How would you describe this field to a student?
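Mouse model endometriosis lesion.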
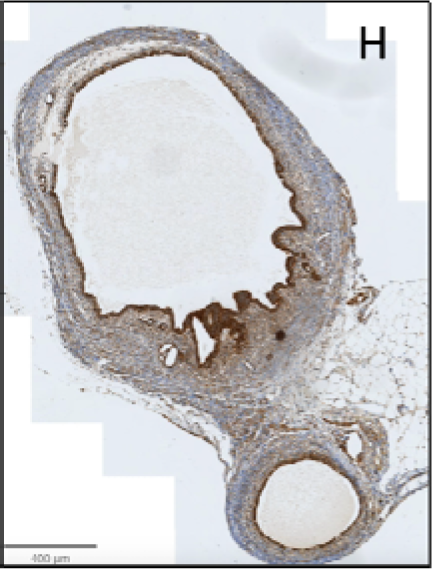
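At low magnification this is a distended gland-like structure: a large cystic lumen with pale contents, surrounded by a wall of stroma and lined by a thin epithelial layer that stains brown. Along one side the lining is folded into small projections and the wall beneath is thickened and deeply brown. A second, smaller round cyst with its own brown-lined wall lies below the large one, and looser connective tissue with scattered brown cells lies off to one side. Blue nuclei show more in the outer parts of the wall.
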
